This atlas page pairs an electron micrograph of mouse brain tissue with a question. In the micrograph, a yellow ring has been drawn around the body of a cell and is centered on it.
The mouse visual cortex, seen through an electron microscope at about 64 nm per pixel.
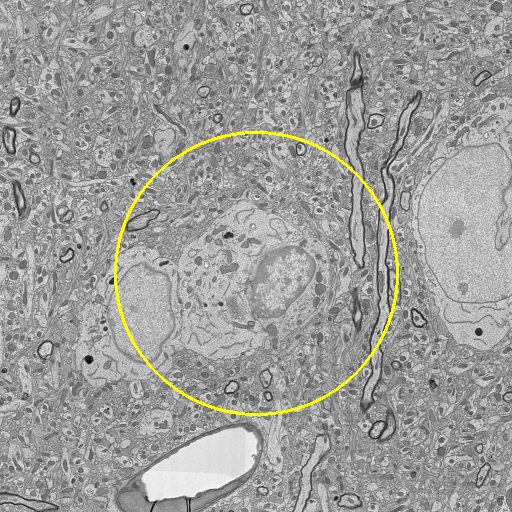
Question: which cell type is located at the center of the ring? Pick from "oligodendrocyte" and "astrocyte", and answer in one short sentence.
Located at the center of the ring is an oligodendrocyte.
